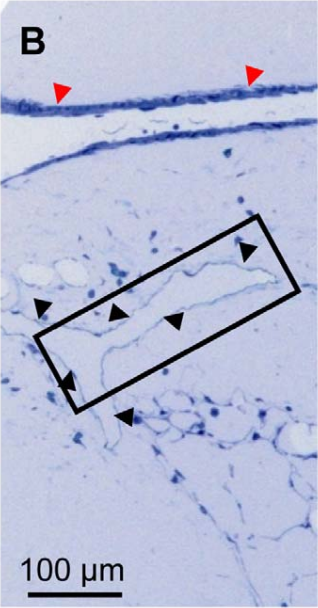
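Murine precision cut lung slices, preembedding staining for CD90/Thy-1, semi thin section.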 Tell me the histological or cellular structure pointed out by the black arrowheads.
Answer: Lymph vessel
